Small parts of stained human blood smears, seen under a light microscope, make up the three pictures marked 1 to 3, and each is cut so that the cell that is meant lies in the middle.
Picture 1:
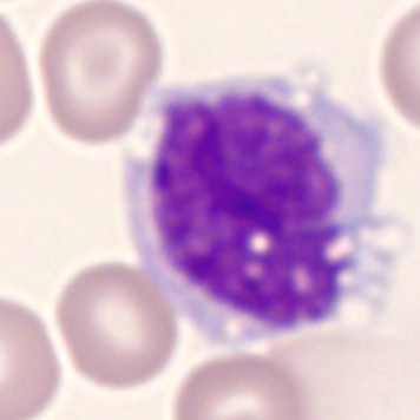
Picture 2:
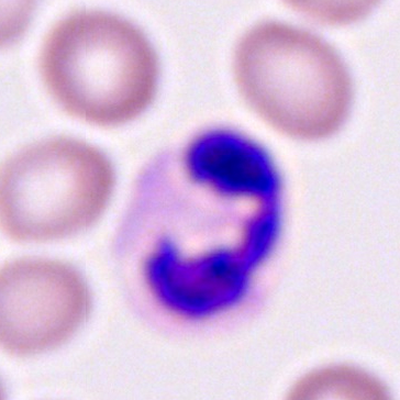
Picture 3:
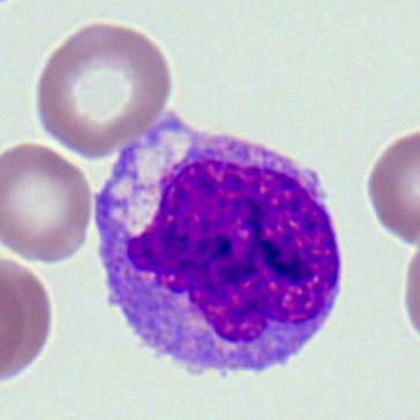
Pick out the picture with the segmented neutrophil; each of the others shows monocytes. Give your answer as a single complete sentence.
The cell in picture 2 is the segmented neutrophil.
